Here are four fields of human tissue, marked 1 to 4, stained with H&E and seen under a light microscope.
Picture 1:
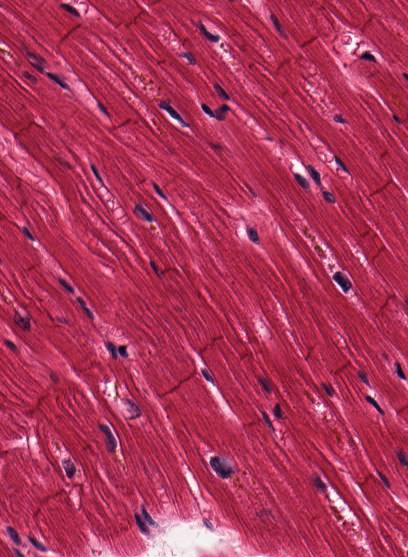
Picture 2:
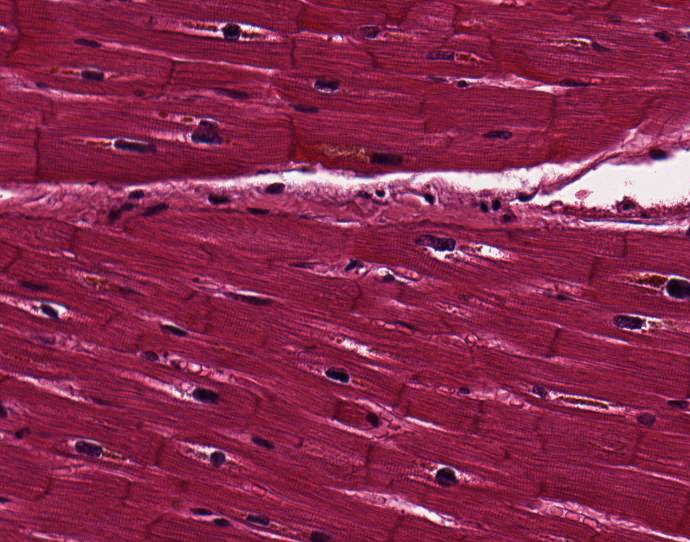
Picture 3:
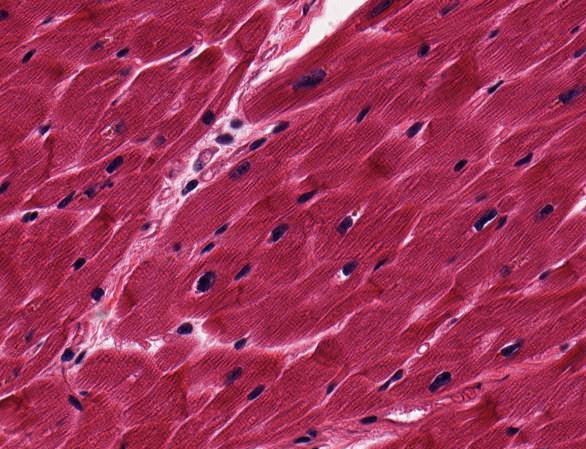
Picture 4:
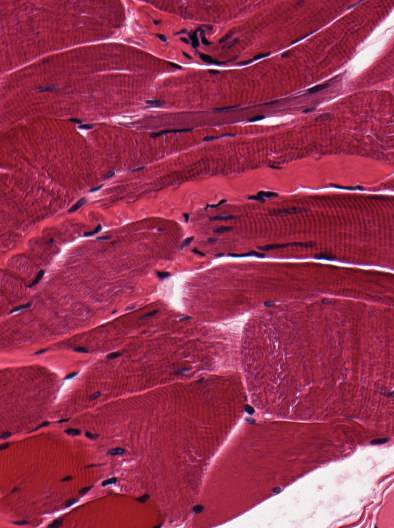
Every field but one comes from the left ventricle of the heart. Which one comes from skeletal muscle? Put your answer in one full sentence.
Picture 4 is the field that comes from skeletal muscle.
